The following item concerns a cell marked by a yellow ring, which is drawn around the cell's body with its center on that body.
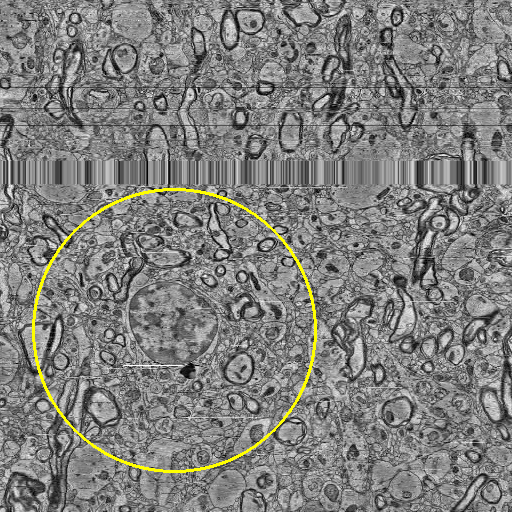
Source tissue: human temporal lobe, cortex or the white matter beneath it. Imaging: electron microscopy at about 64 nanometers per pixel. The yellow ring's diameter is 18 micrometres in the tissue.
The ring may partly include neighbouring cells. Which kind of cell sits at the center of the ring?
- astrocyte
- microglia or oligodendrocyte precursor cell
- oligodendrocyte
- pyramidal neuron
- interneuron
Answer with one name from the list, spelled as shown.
microglia or oligodendrocyte precursor cell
